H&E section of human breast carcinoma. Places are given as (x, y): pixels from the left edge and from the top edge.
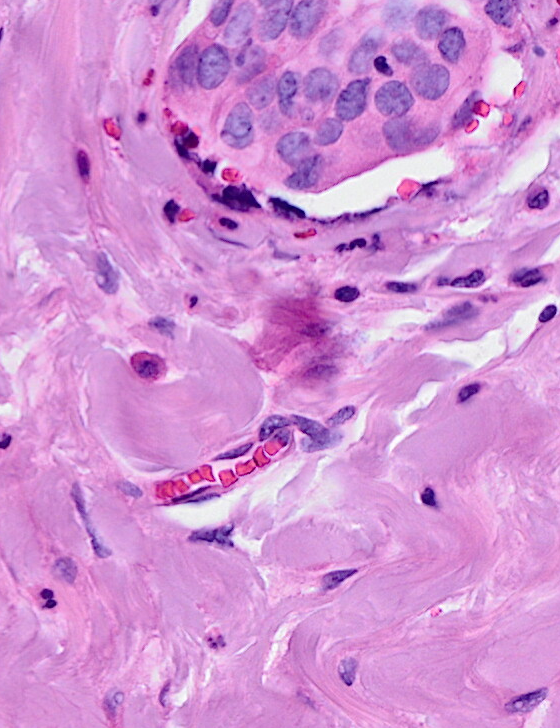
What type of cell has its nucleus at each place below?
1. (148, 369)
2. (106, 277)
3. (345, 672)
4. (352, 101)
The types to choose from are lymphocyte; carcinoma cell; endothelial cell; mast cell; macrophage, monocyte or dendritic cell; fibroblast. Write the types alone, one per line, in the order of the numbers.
mast cell
fibroblast
fibroblast
carcinoma cell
